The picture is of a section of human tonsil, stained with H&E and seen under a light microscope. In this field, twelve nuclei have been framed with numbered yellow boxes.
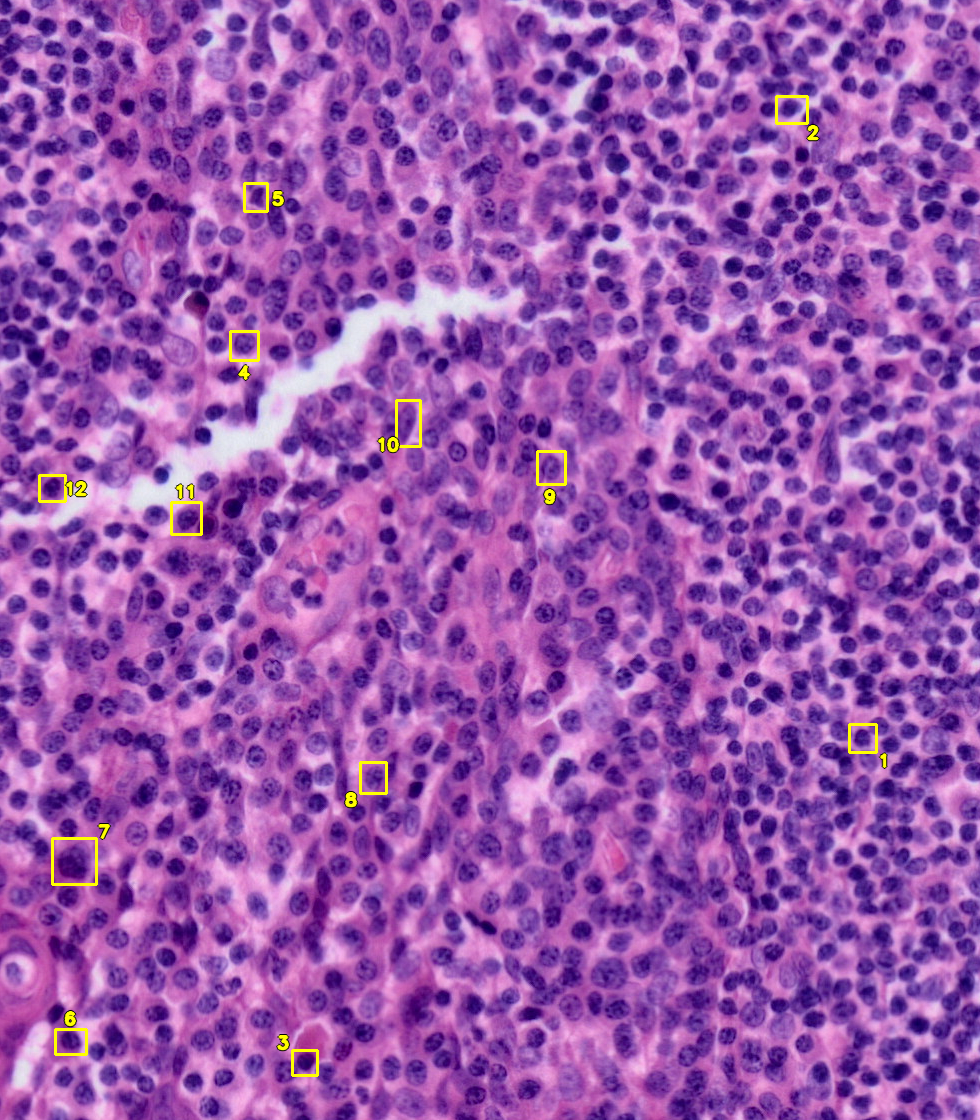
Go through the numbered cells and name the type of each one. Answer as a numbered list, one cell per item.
1. small lymphocyte
2. small lymphocyte
3. plasma cell
4. plasma cell
5. squamous epithelial cell
6. plasma cell
7. squamous epithelial cell
8. plasma cell
9. plasma cell
10. squamous epithelial cell
11. plasma cell
12. plasma cell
